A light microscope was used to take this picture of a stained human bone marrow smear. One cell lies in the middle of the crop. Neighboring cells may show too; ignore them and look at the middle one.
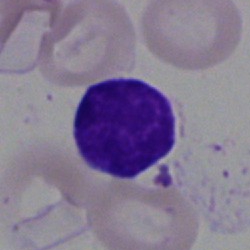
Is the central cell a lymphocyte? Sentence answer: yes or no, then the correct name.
Yes, in the middle of the crop is a lymphocyte.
